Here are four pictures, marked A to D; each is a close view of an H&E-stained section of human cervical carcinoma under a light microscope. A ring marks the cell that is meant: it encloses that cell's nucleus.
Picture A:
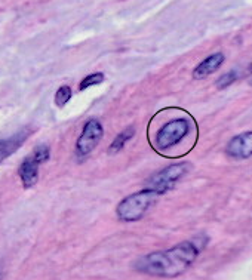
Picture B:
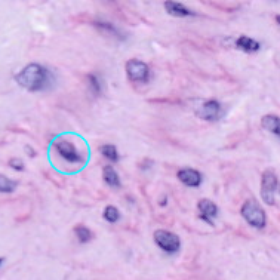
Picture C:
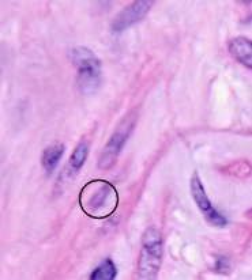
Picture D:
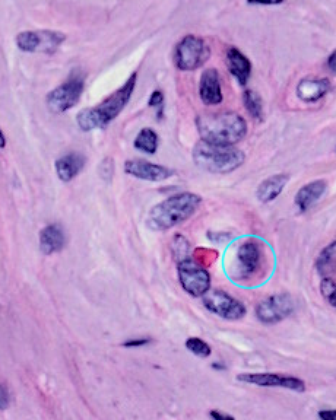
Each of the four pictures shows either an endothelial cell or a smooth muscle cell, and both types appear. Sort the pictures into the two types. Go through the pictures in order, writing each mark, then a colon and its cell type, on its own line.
A: smooth muscle cell
B: smooth muscle cell
C: smooth muscle cell
D: endothelial cell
